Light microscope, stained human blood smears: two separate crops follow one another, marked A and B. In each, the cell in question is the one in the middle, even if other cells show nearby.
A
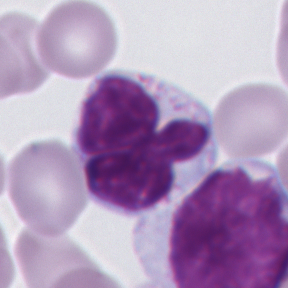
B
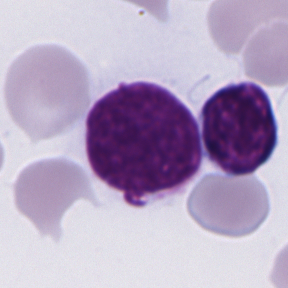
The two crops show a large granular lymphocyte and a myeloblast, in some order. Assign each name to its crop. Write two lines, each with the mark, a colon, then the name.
A: large granular lymphocyte
B: myeloblast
